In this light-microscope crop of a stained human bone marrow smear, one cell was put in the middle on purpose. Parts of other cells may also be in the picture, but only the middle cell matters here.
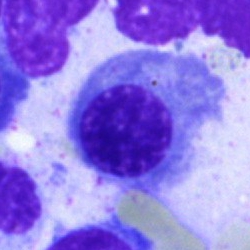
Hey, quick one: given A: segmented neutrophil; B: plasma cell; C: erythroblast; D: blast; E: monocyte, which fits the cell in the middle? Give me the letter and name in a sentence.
The cell centered in the crop is an erythroblast, making option C the correct pick.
